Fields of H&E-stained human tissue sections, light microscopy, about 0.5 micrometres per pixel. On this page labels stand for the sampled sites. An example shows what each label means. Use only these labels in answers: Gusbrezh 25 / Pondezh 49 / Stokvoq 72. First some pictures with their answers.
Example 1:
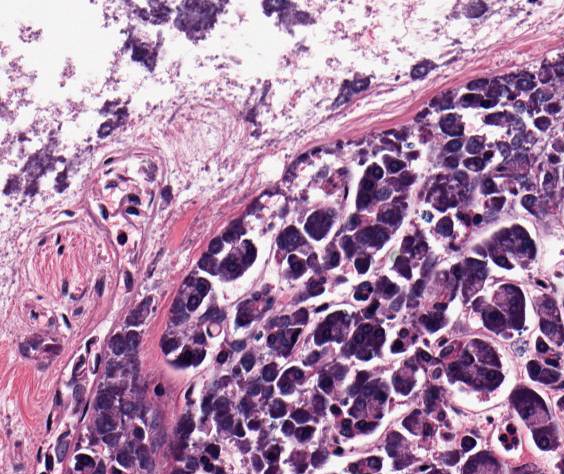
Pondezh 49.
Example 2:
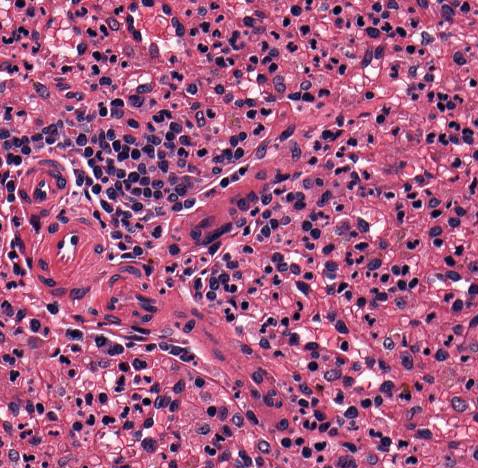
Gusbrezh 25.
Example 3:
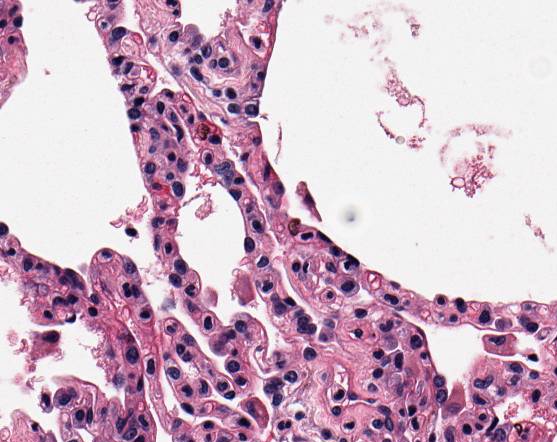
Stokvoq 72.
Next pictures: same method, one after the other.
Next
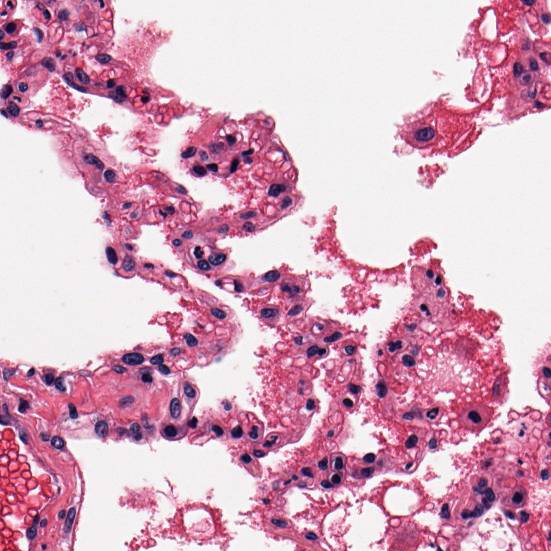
Stokvoq 72.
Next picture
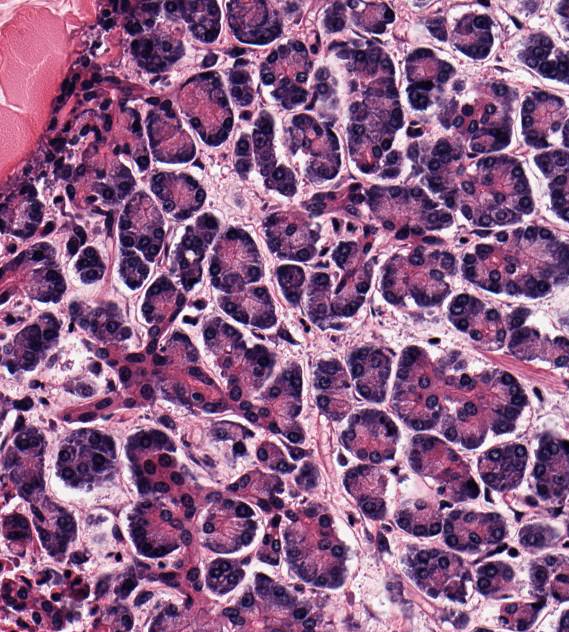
Pondezh 49.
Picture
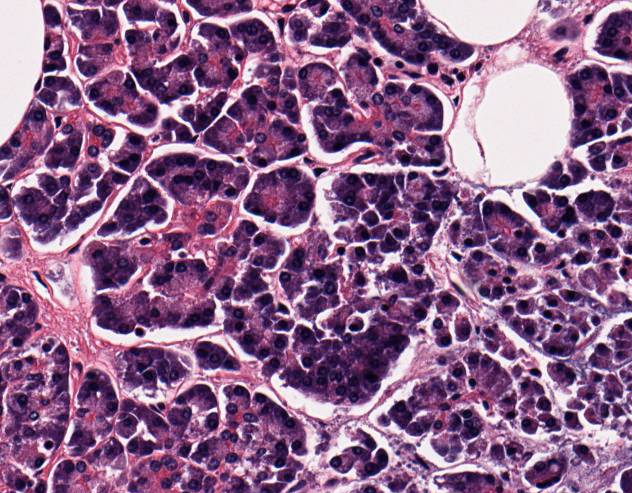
Pondezh 49.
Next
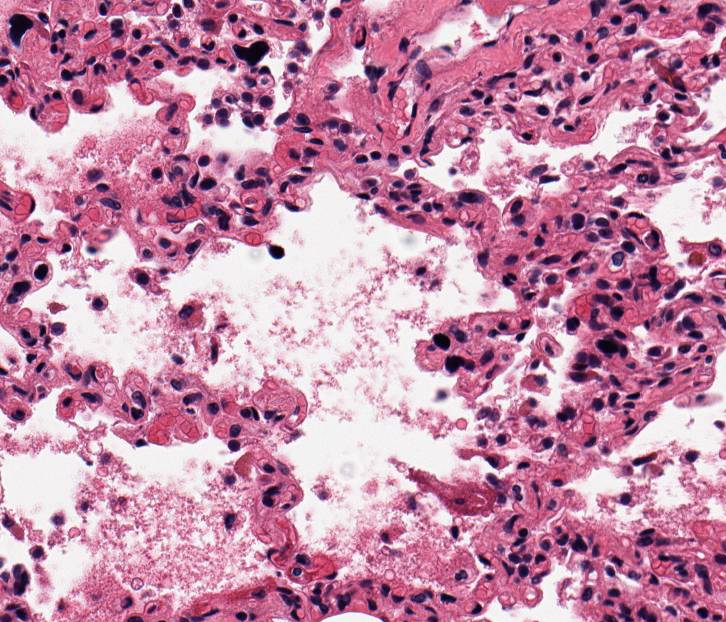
Stokvoq 72.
